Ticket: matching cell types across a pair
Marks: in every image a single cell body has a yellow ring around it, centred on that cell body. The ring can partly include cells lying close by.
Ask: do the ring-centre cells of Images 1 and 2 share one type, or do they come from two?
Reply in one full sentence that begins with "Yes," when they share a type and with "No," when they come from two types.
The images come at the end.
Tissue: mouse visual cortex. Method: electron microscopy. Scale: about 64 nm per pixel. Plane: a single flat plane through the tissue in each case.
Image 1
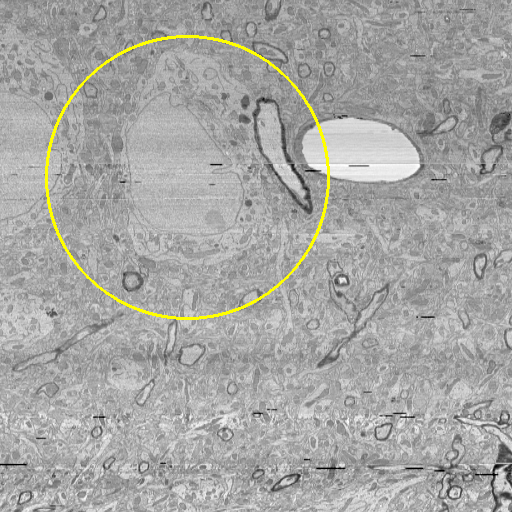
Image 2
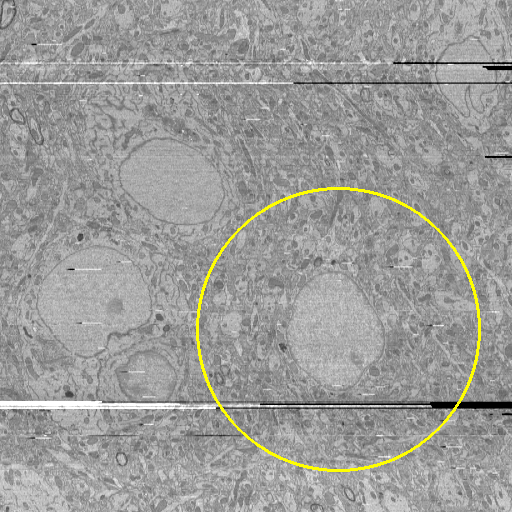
No, the cells in the centres of the rings in Image 1 and Image 2 come from two types.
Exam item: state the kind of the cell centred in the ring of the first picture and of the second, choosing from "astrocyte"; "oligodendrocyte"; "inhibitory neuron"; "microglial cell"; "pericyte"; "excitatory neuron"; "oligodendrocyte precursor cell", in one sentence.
The first picture shows an excitatory neuron at the ring centre and the second shows an astrocyte.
